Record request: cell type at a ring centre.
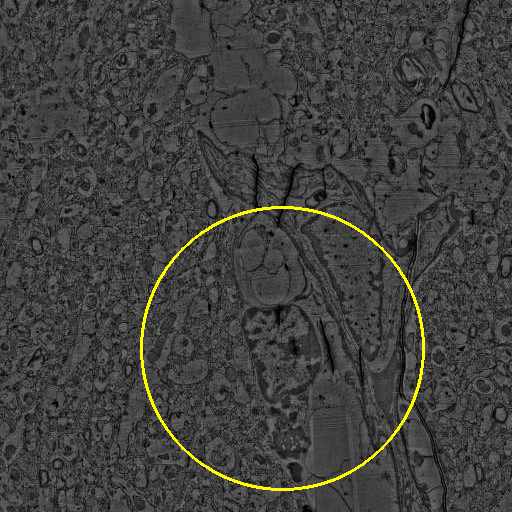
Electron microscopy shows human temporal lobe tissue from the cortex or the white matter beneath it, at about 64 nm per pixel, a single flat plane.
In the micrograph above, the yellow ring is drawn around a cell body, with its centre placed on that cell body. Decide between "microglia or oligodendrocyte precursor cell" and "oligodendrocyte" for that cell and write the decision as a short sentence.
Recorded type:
The cell centred in the yellow ring is a microglial cell or oligodendrocyte precursor cell.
